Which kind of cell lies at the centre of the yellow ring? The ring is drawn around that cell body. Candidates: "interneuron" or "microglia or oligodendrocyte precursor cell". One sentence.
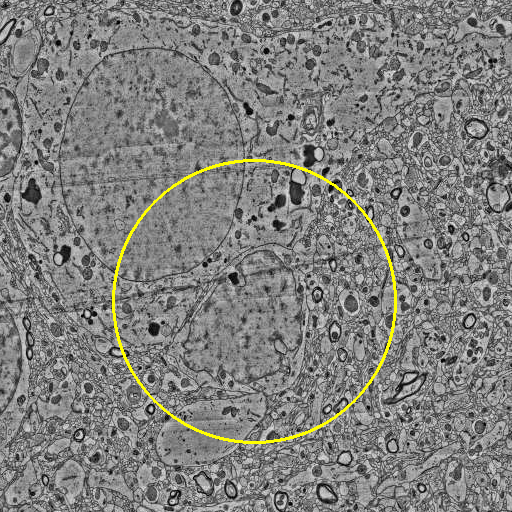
Lying at the centre of the ring is an interneuron.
